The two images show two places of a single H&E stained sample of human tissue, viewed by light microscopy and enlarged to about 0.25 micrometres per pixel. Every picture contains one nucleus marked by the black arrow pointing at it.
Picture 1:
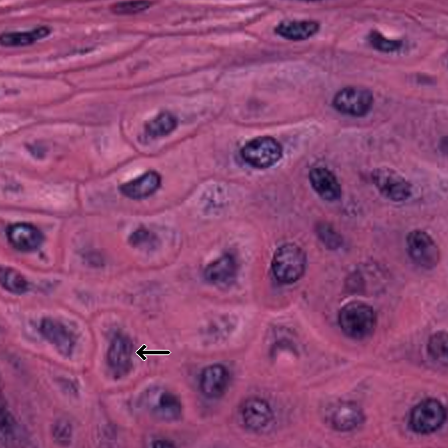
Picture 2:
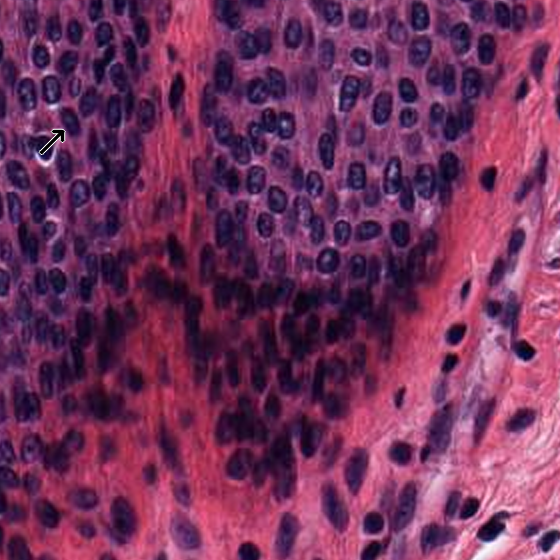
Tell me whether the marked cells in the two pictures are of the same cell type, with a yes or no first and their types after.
Yes, both are squamous epithelial cells.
